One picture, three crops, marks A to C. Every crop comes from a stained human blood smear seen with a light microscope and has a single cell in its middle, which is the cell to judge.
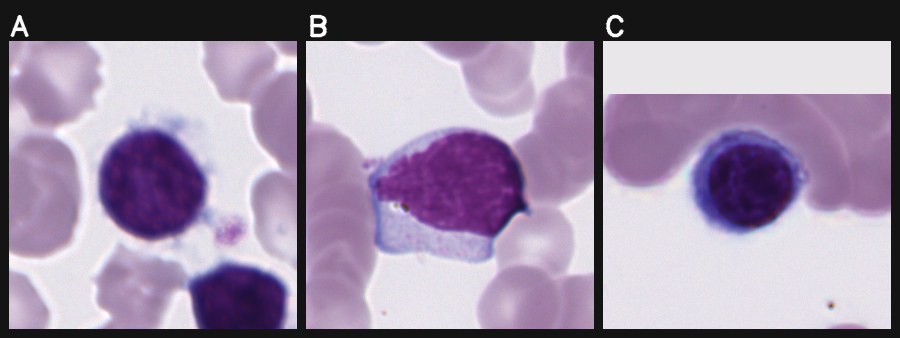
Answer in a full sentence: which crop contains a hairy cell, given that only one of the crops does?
The one crop in the set with a hairy cell is crop A.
